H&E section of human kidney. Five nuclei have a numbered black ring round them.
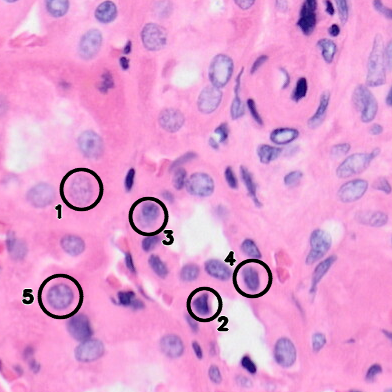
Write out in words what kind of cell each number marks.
Cell 1 is a proximal tubule cell, cell 2 is a collecting duct cell, cell 3 is a collecting duct cell, cell 4 is a collecting duct cell and cell 5 is a proximal tubule cell.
